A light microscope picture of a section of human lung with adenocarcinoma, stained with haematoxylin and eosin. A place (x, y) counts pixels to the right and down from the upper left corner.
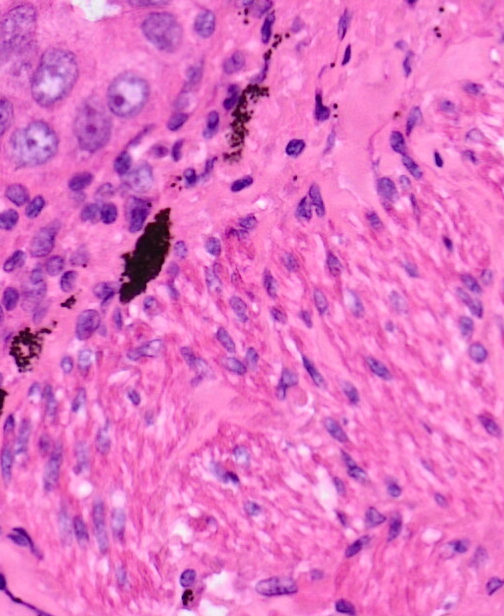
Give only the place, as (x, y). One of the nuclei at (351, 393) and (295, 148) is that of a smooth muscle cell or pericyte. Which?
(351, 393)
